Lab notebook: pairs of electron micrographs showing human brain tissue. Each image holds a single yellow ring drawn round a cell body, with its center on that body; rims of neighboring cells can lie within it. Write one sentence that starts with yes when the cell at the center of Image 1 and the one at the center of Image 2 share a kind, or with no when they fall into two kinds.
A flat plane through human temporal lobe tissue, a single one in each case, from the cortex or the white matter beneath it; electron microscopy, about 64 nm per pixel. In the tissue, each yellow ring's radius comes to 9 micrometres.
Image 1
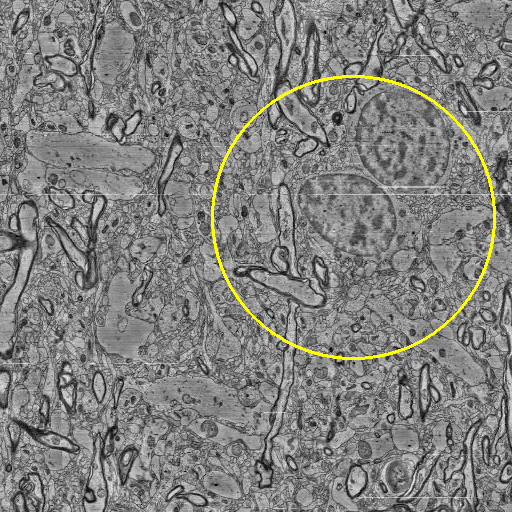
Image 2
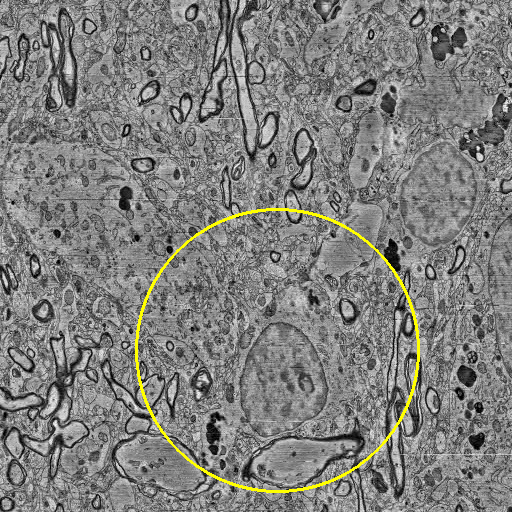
Yes, the centered cell in Image 1 and the centered cell in Image 2 are of one kind.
